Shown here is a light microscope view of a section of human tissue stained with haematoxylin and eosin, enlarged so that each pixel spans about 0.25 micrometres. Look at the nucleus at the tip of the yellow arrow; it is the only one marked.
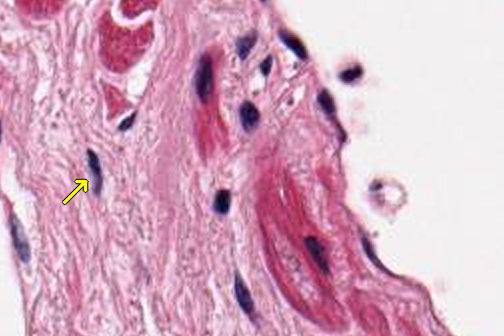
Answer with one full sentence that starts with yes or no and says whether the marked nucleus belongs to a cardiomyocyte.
No, the marked nucleus is not from a cardiomyocyte; a supporting cell is its source.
